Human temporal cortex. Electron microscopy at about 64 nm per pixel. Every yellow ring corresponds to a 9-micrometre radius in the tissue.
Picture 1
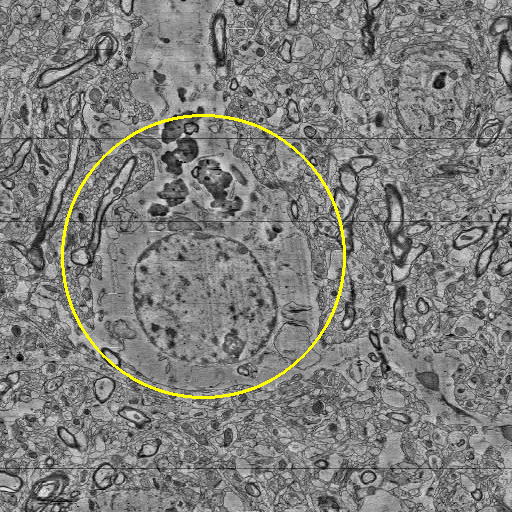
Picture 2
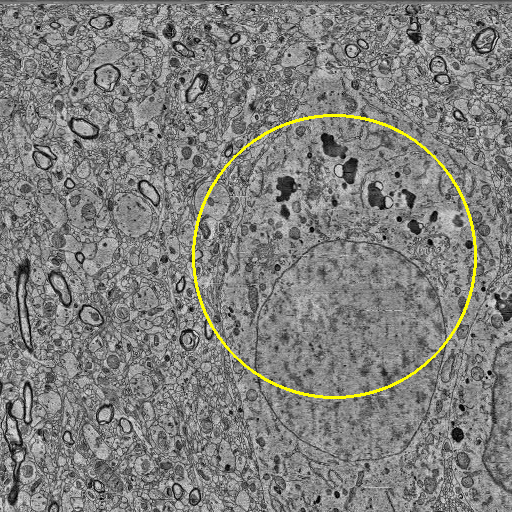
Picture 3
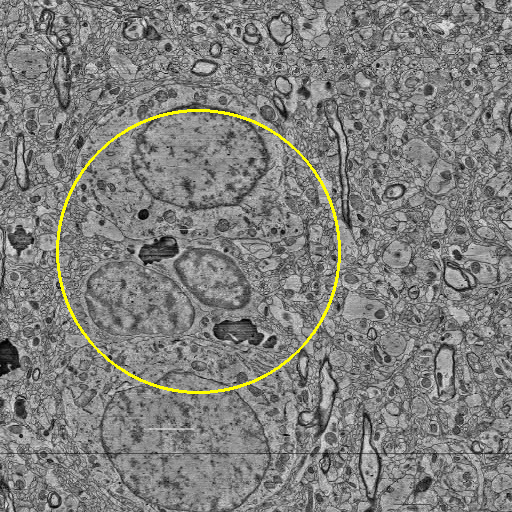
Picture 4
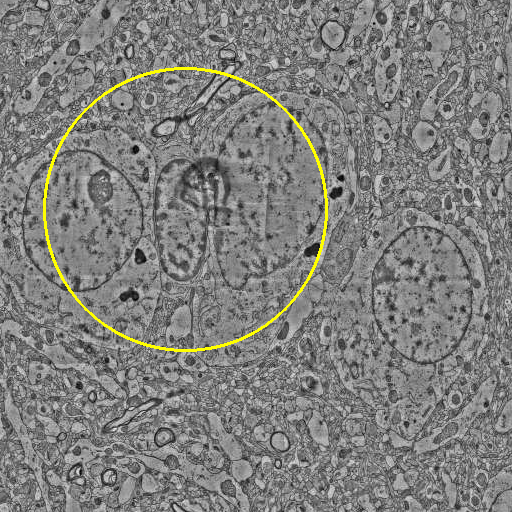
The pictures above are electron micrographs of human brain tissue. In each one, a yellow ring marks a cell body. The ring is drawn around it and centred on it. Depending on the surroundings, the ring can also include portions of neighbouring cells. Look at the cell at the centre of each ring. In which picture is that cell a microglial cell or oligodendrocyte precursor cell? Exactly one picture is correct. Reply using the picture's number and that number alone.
4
